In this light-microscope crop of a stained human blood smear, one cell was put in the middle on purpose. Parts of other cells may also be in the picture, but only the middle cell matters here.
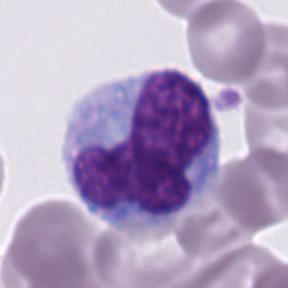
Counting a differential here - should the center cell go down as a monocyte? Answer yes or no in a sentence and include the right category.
Yes, as regards the cell in the middle, it is a monocyte.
